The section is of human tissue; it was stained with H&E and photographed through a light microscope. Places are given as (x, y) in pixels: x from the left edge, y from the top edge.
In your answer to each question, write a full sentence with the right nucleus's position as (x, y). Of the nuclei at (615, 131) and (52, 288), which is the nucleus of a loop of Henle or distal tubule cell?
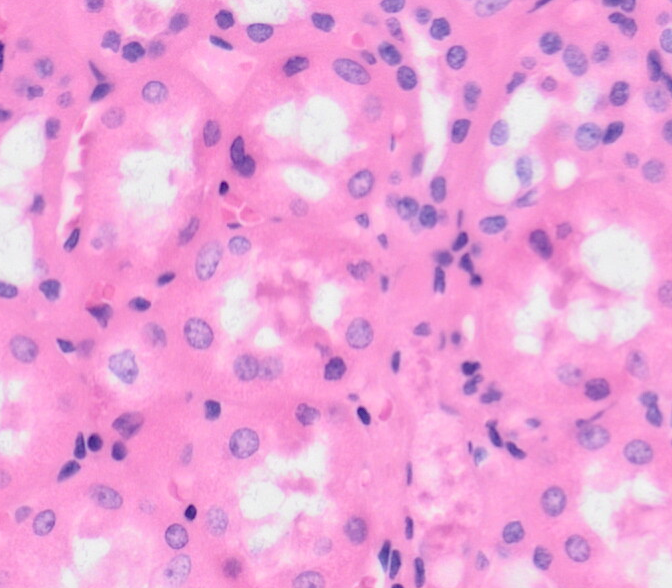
It is at (52, 288) that the nucleus of a loop of Henle or distal tubule cell is found.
